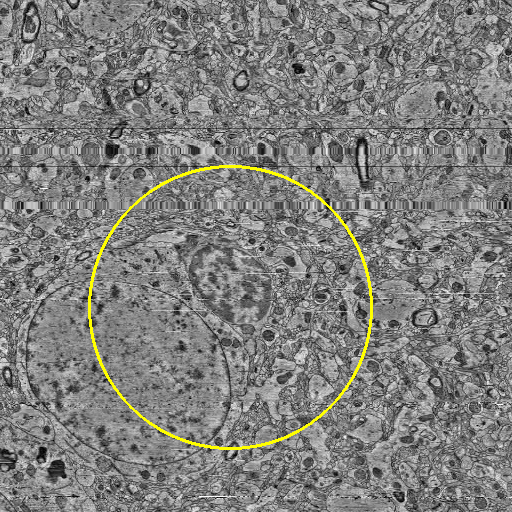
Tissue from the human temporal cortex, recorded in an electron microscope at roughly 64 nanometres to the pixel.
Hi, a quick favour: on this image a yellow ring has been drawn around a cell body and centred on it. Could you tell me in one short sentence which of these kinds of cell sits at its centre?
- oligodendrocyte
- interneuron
The ring is centred on an oligodendrocyte.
